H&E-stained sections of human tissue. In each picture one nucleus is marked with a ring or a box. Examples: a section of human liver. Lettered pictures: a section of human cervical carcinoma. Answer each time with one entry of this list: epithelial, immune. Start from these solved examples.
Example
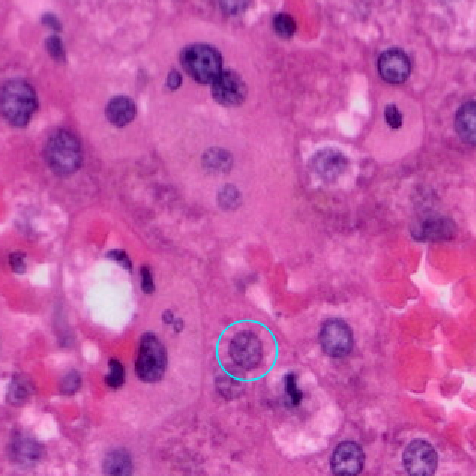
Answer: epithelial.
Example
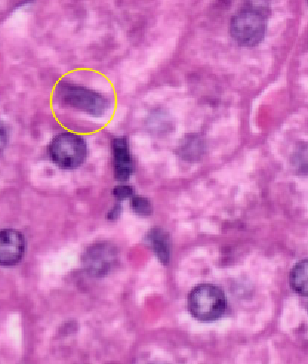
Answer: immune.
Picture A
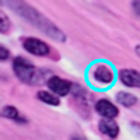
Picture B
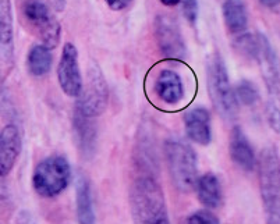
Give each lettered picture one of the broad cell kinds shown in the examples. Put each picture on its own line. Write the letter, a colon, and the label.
A: immune.
B: immune.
